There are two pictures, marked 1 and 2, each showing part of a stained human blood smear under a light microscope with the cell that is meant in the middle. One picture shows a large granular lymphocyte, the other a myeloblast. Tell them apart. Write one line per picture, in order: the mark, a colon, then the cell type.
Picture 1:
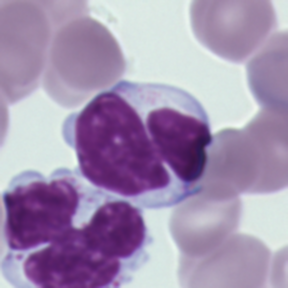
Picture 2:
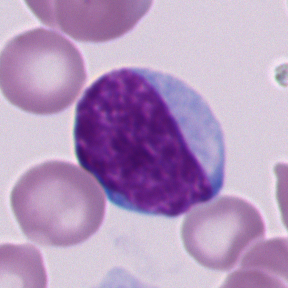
1: large granular lymphocyte
2: myeloblast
